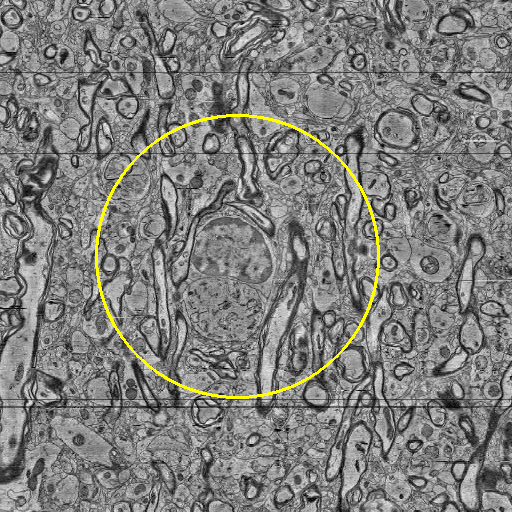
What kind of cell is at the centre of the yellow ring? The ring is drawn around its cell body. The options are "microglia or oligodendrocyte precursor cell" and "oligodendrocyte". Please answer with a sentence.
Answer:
The yellow ring marks the cell body of a microglial cell or oligodendrocyte precursor cell.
